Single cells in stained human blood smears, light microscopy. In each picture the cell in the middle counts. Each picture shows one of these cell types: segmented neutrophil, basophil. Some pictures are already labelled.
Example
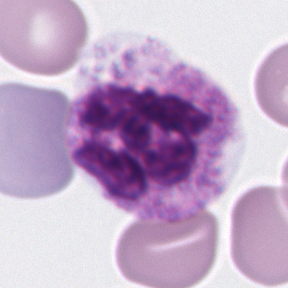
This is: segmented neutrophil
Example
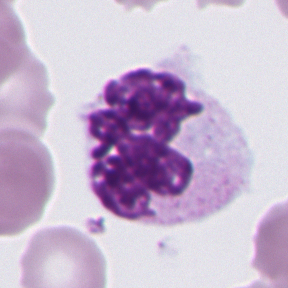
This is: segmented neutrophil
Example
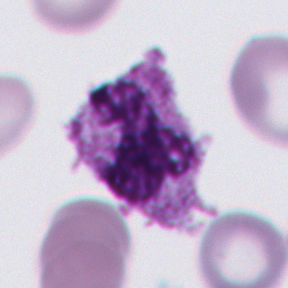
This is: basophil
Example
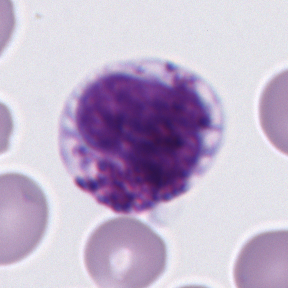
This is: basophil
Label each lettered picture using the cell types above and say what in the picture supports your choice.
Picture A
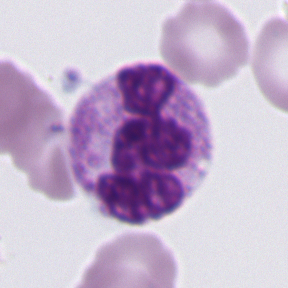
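Answer: segmented neutrophil. The cytoplasm is plentiful around the nucleus.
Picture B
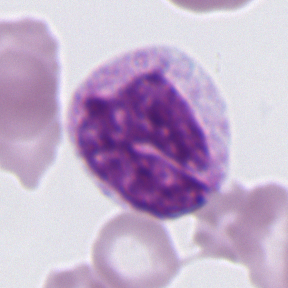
Answer: segmented neutrophil. Fine purple granules are scattered through the cytoplasm.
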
